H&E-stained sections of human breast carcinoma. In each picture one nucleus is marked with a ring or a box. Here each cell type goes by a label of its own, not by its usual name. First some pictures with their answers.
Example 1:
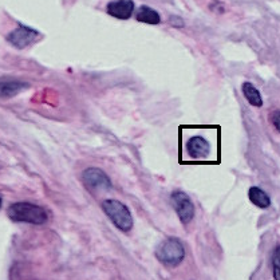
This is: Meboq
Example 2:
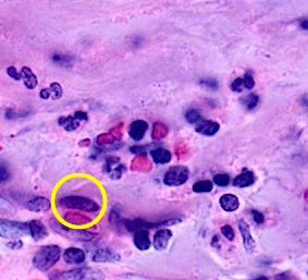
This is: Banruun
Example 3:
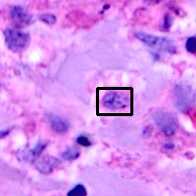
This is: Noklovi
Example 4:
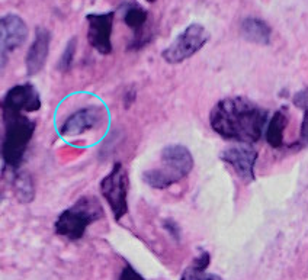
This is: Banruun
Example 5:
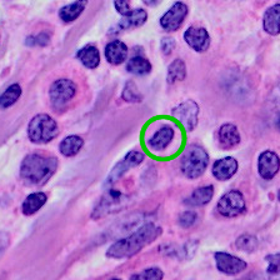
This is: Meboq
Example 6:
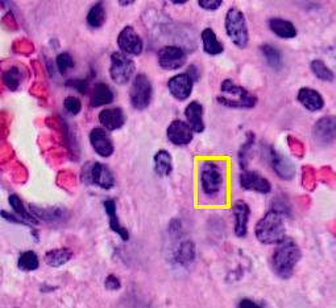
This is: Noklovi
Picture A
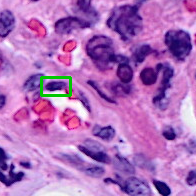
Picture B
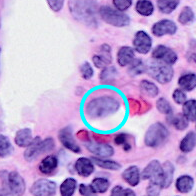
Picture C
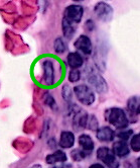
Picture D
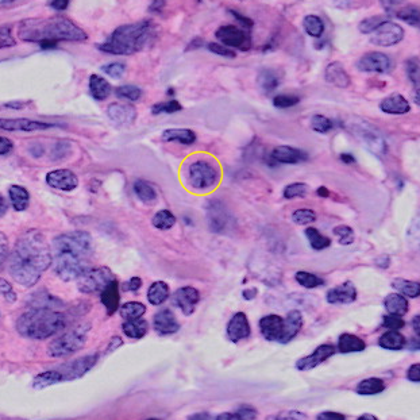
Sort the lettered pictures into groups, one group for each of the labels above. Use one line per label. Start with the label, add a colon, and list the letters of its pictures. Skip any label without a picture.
Banruun: A, B, C
Noklovi: D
